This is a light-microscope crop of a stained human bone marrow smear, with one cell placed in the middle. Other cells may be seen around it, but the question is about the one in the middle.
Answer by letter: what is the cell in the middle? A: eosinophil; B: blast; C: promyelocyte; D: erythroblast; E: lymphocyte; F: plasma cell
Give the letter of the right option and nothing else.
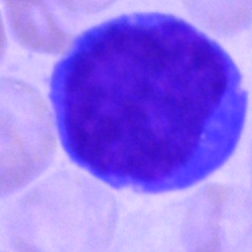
B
